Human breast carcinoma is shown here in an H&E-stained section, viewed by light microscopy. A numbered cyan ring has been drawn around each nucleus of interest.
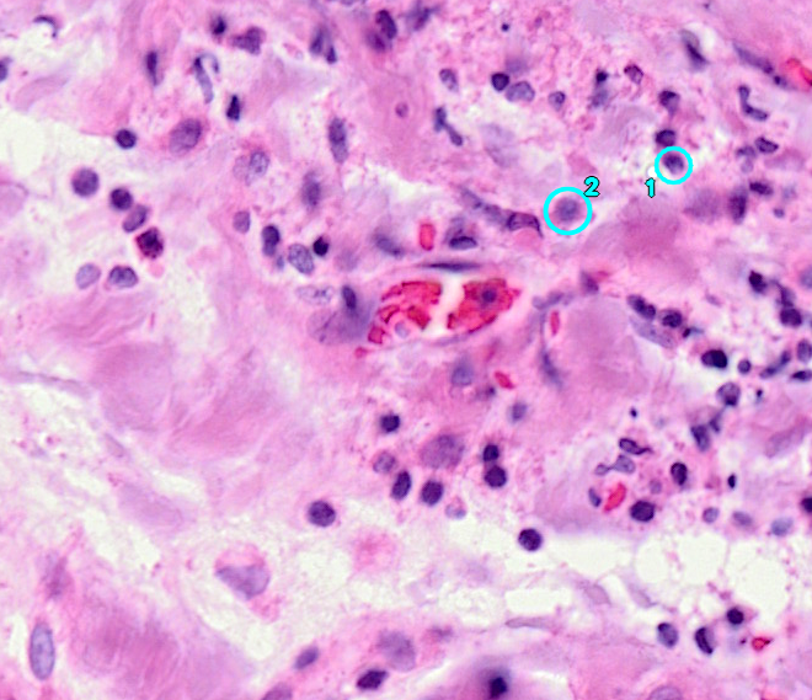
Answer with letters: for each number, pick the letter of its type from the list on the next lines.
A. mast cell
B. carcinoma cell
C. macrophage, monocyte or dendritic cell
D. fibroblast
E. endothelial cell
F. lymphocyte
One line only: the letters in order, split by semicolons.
F; A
